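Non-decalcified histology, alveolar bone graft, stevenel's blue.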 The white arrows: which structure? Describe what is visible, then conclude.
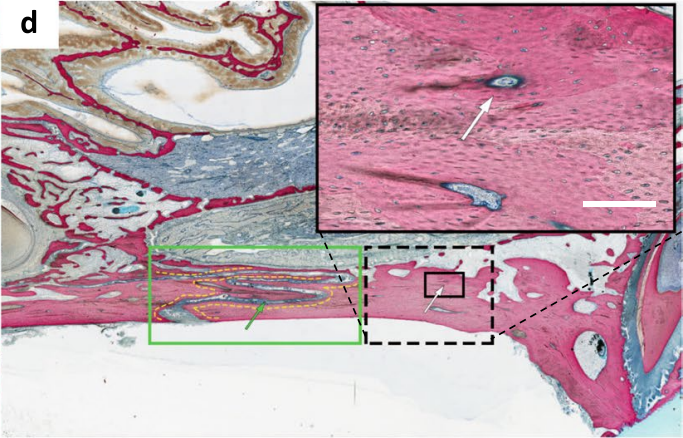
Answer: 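The arrow in the enlarged inset points to a small canal rimmed in blue. The canal lies within pink bone matrix. That points to this answer: blood vessels.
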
